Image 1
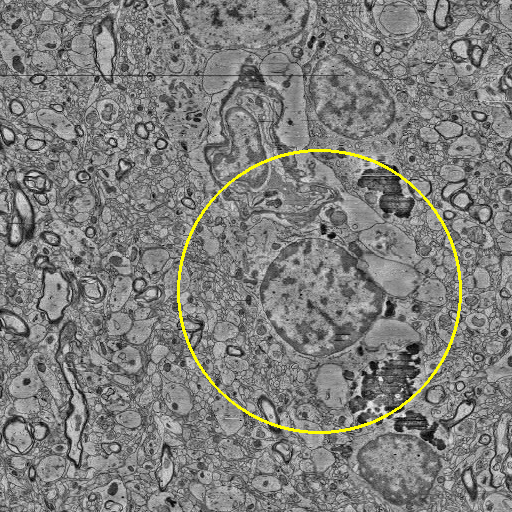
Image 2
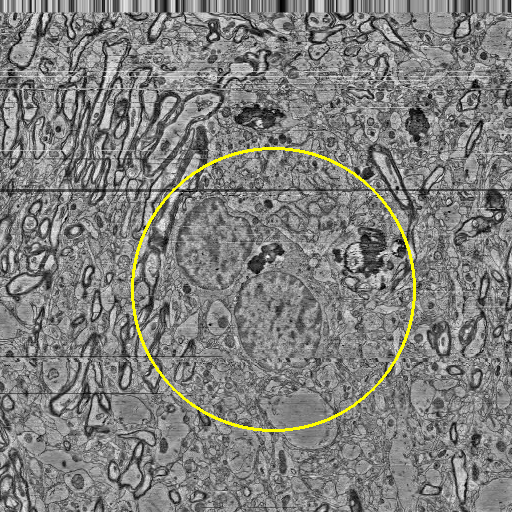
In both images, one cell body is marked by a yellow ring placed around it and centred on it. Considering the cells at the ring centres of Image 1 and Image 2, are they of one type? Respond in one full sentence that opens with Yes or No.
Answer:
No, two types apply to the ring-centred cells of Image 1 and Image 2.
